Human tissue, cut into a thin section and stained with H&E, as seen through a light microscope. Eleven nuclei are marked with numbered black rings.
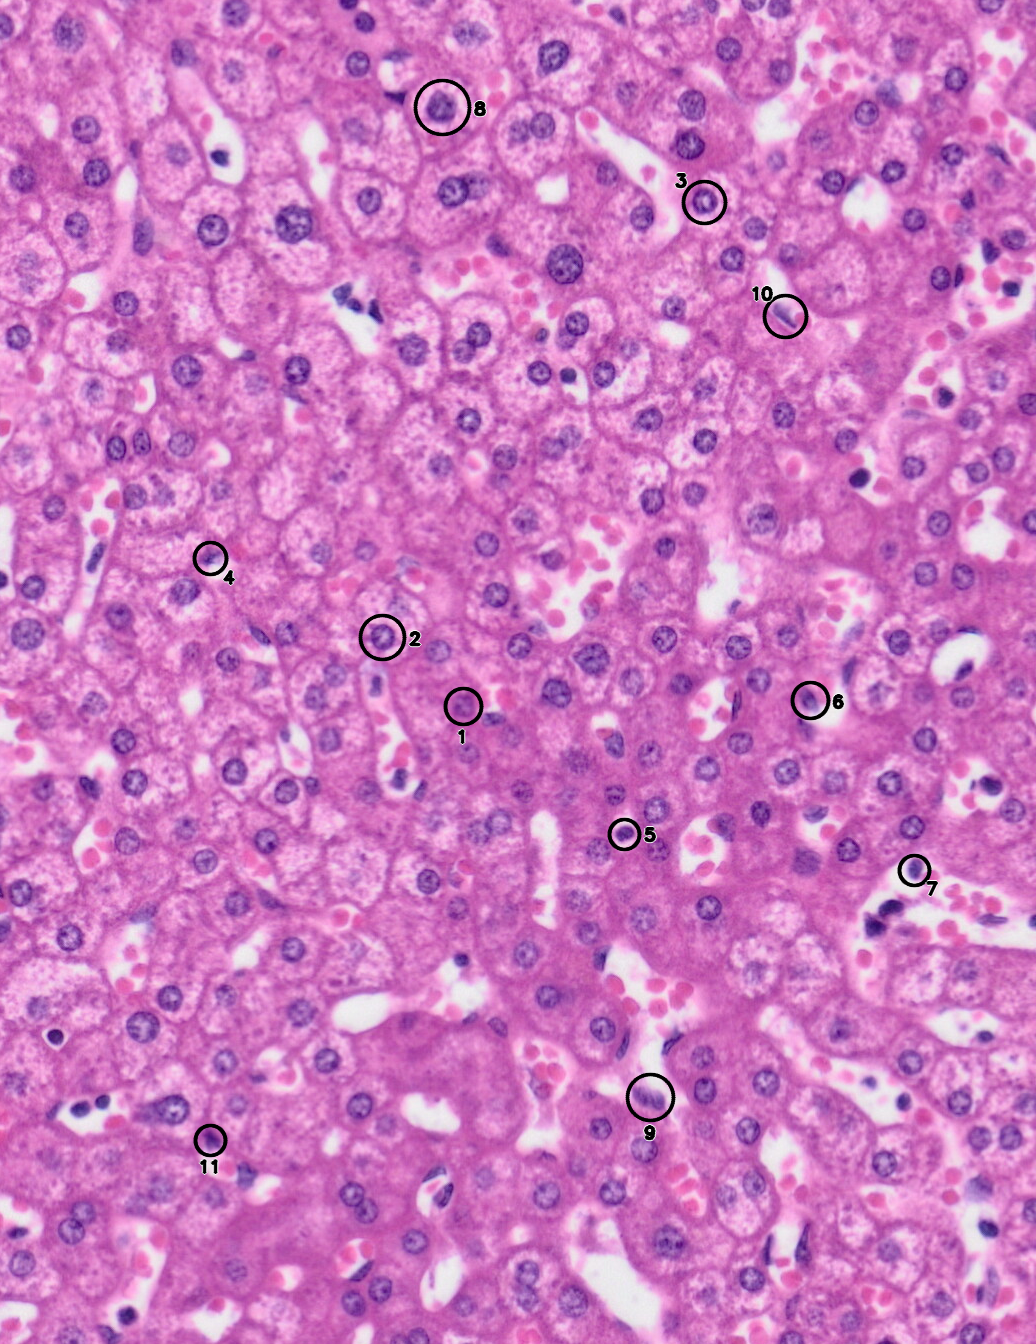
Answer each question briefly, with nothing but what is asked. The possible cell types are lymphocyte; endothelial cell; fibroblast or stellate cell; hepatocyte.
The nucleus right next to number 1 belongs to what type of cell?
endothelial cell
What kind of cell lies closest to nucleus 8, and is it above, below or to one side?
a fibroblast or stellate cell; to the left of nucleus 8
